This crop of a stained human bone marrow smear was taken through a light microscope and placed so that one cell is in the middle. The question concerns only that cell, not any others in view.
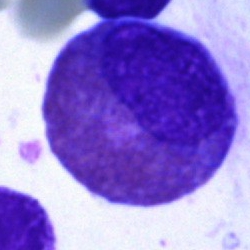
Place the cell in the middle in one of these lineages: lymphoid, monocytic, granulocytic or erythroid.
granulocytic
